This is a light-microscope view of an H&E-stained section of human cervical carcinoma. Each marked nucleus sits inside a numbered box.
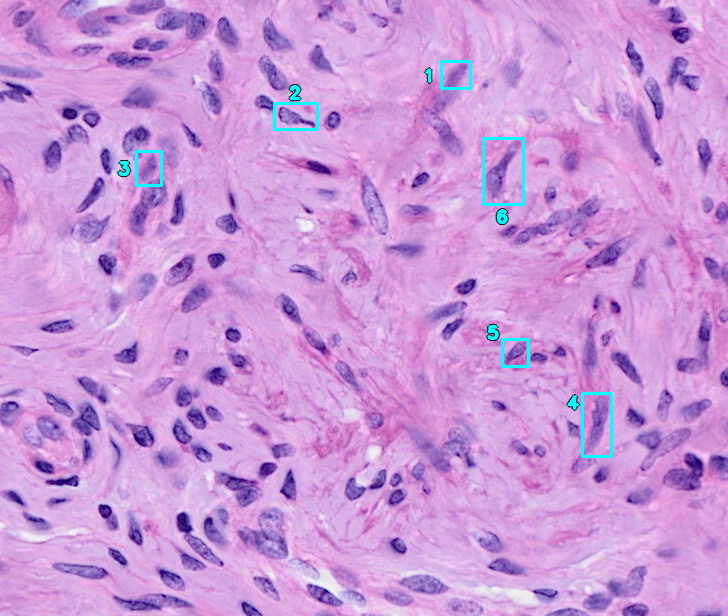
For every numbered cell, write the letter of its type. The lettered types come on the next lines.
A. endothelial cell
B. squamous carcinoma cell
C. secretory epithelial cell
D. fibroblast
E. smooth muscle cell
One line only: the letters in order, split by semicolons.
E; D; A; E; E; E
